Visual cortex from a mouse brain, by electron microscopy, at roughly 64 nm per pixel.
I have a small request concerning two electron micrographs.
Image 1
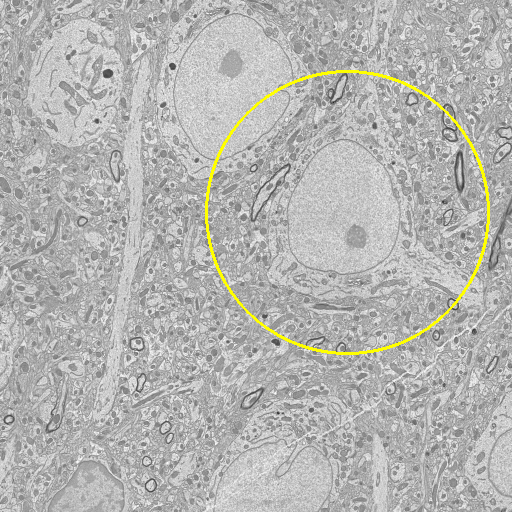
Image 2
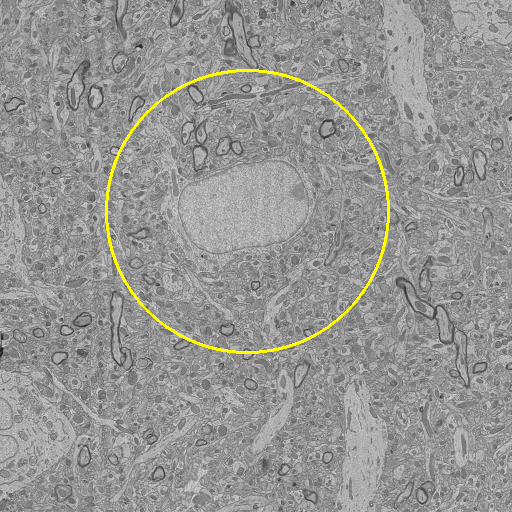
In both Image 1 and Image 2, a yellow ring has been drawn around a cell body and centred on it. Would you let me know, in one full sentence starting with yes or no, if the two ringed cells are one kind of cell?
No, the cells ringed in Image 1 and Image 2 are two kinds of cell.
